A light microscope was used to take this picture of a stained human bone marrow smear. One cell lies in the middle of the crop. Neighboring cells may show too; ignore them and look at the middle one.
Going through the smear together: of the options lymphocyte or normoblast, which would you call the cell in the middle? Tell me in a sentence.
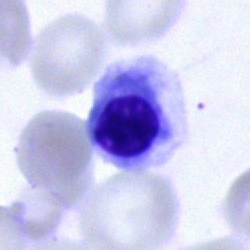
For this crop, the cell in the middle is a normoblast.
